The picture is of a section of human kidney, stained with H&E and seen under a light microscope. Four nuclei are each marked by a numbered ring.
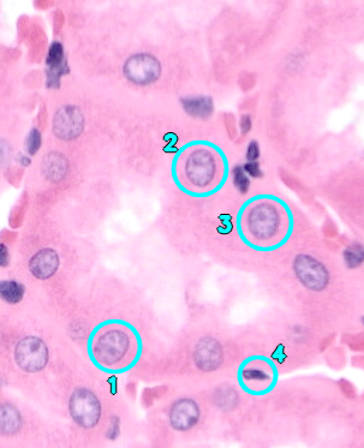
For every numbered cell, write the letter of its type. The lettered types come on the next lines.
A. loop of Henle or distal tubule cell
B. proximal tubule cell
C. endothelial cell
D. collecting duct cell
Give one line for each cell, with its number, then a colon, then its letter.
1: B
2: B
3: B
4: C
